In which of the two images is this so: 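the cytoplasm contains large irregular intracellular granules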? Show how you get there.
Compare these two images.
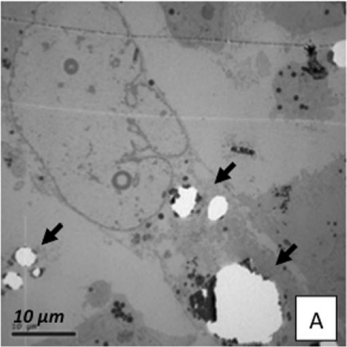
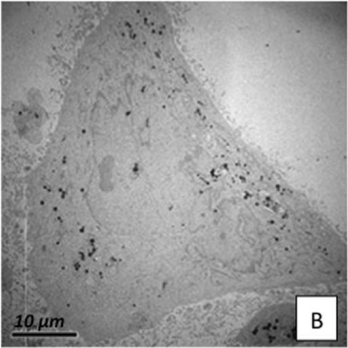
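The first image. Second image: a large flat cell with only small dark dots, no large irregular bodies. First image: several large bright irregular bodies lie in the cytoplasm.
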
